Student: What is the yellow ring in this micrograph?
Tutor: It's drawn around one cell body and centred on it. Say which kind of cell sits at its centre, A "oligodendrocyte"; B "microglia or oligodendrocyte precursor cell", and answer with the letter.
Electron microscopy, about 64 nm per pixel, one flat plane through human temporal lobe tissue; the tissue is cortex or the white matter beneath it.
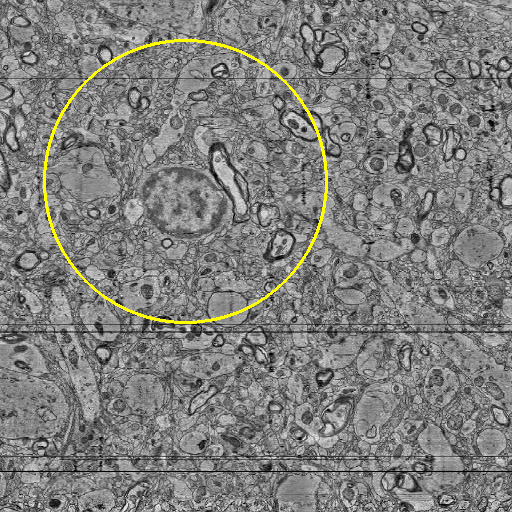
A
